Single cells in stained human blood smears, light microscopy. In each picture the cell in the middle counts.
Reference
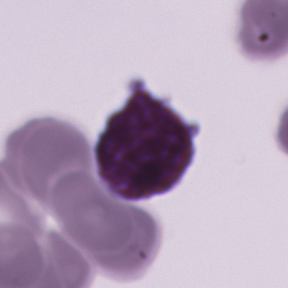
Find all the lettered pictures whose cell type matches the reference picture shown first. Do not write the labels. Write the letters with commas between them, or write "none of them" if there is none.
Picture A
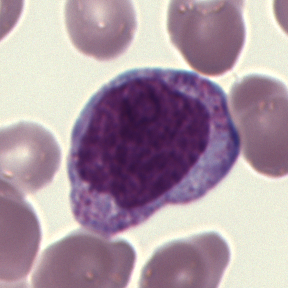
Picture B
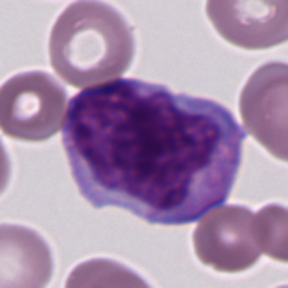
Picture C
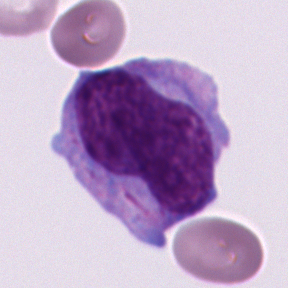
none of them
